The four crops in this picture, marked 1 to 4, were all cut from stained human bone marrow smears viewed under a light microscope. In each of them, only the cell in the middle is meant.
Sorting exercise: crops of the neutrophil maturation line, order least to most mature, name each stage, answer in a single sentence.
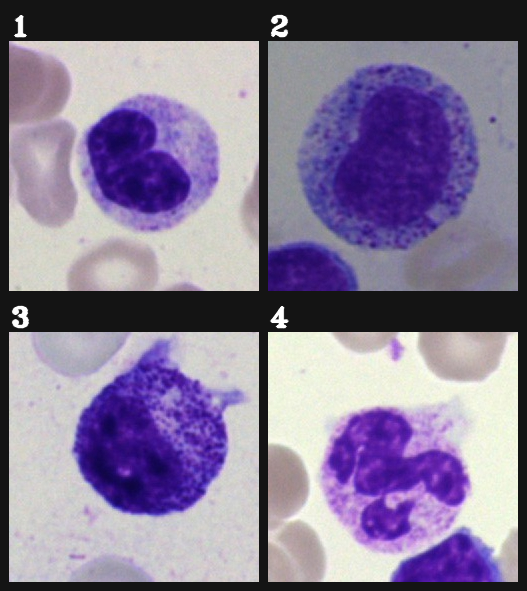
The sequence from earliest to most advanced maturity is crop 2 (a promyelocyte), crop 3 (a myelocyte), crop 1 (a metamyelocyte) and crop 4 (a segmented neutrophil).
